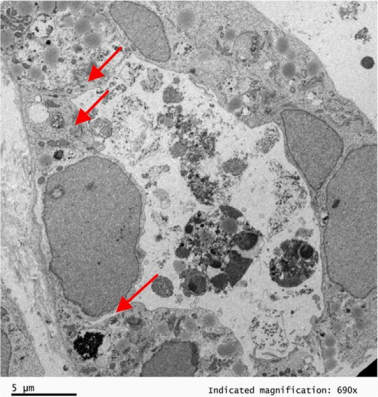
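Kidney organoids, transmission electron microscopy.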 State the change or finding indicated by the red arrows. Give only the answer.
Damaged tubular cells.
